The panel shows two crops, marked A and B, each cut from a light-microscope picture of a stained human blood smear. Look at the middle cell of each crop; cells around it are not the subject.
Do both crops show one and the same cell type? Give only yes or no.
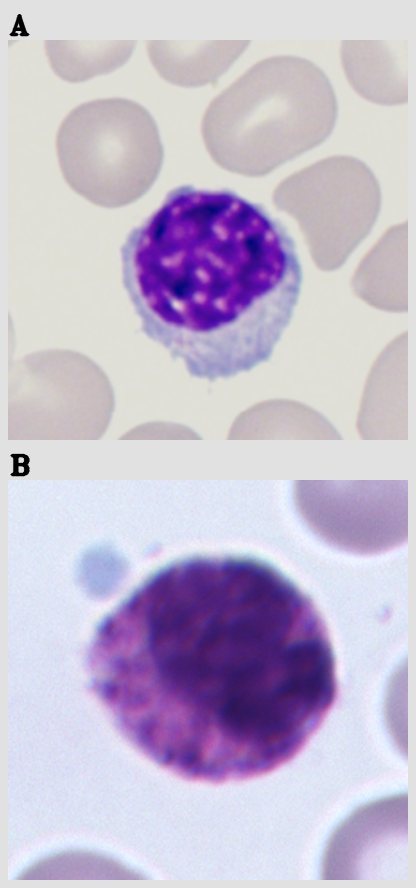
no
